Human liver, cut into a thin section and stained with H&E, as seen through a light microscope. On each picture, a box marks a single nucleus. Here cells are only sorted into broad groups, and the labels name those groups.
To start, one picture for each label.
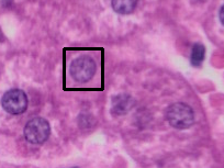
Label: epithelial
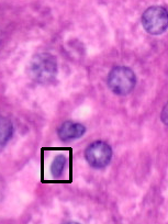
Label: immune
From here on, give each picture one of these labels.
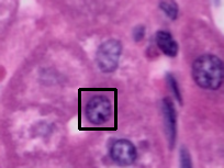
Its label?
epithelial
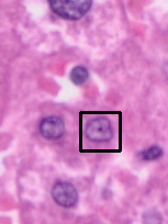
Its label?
epithelial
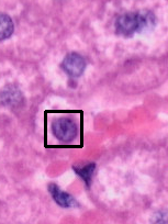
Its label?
epithelial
